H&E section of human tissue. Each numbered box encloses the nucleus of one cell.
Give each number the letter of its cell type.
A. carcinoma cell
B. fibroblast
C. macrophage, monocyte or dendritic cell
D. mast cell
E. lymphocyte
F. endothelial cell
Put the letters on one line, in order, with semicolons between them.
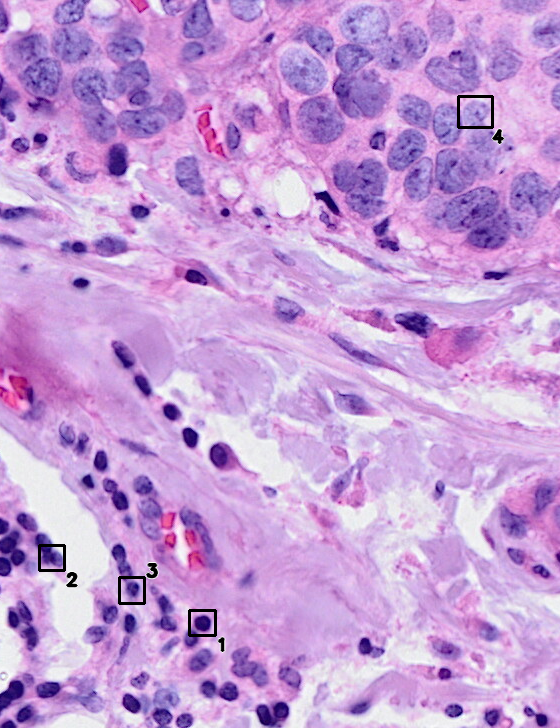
E; E; E; A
